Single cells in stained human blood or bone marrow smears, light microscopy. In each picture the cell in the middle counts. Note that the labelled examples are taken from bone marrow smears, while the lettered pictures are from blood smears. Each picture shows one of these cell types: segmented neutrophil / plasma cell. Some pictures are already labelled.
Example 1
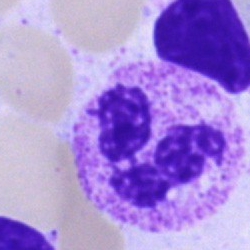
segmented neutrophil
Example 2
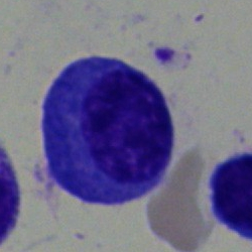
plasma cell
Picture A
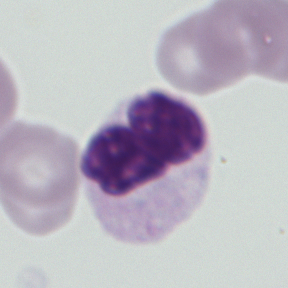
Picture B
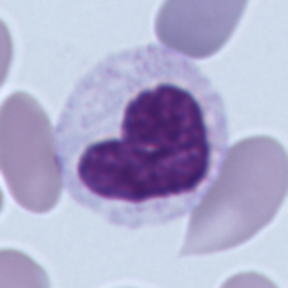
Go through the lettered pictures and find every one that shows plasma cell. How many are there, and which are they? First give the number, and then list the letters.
0, none of them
